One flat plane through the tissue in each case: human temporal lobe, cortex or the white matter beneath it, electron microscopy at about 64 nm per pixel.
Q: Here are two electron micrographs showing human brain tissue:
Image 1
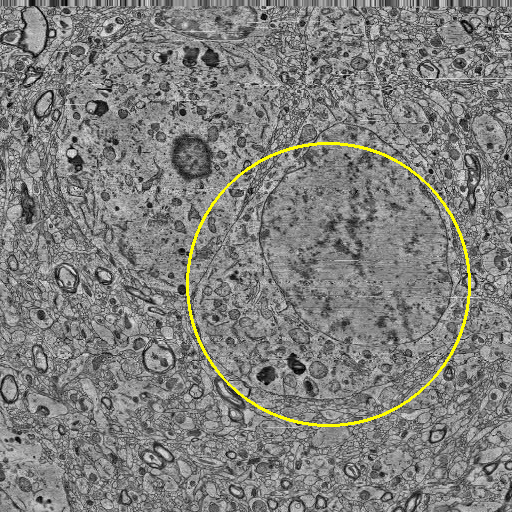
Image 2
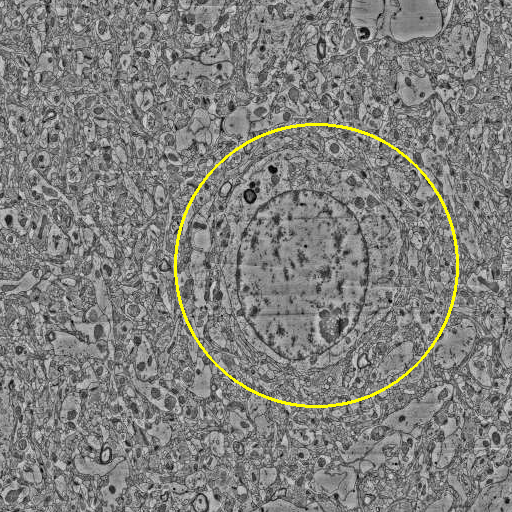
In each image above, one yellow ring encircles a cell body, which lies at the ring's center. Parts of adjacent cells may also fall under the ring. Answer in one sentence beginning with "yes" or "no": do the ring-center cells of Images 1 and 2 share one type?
Yes, in Images 1 and 2, the ring-center cells are both of one type.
